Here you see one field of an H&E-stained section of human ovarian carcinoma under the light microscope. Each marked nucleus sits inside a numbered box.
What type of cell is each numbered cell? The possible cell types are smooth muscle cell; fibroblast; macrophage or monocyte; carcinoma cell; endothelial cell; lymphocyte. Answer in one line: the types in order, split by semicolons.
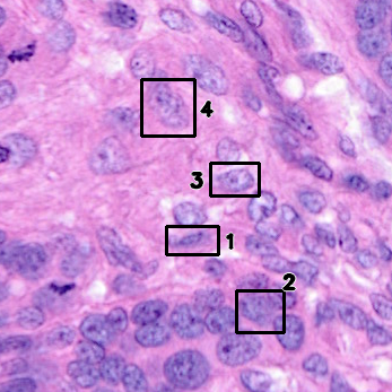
fibroblast; carcinoma cell; fibroblast; fibroblast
